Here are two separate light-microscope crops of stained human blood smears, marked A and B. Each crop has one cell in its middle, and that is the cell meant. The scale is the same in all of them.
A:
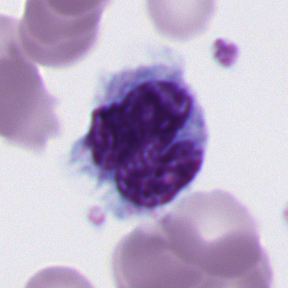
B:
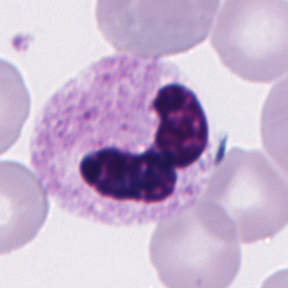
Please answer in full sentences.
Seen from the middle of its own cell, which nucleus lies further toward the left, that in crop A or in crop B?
In crop A the nucleus is shifted more toward the left.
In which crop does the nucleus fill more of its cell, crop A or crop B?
Of the two, the nucleus in crop A makes up the greater part of its cell.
